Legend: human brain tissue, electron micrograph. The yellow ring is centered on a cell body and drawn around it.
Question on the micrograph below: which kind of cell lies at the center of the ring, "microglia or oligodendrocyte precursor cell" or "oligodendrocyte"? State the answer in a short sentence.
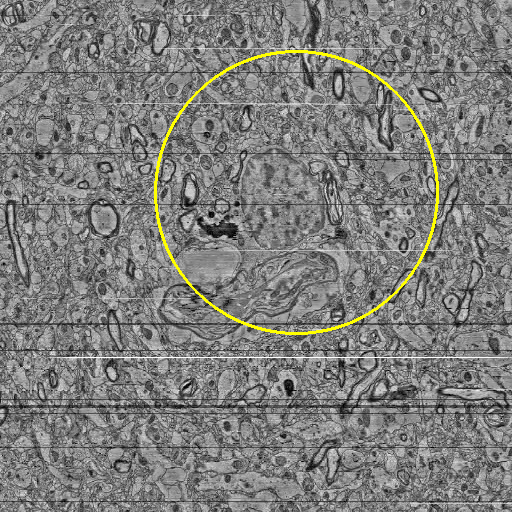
At the center of the ring lies an oligodendrocyte.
